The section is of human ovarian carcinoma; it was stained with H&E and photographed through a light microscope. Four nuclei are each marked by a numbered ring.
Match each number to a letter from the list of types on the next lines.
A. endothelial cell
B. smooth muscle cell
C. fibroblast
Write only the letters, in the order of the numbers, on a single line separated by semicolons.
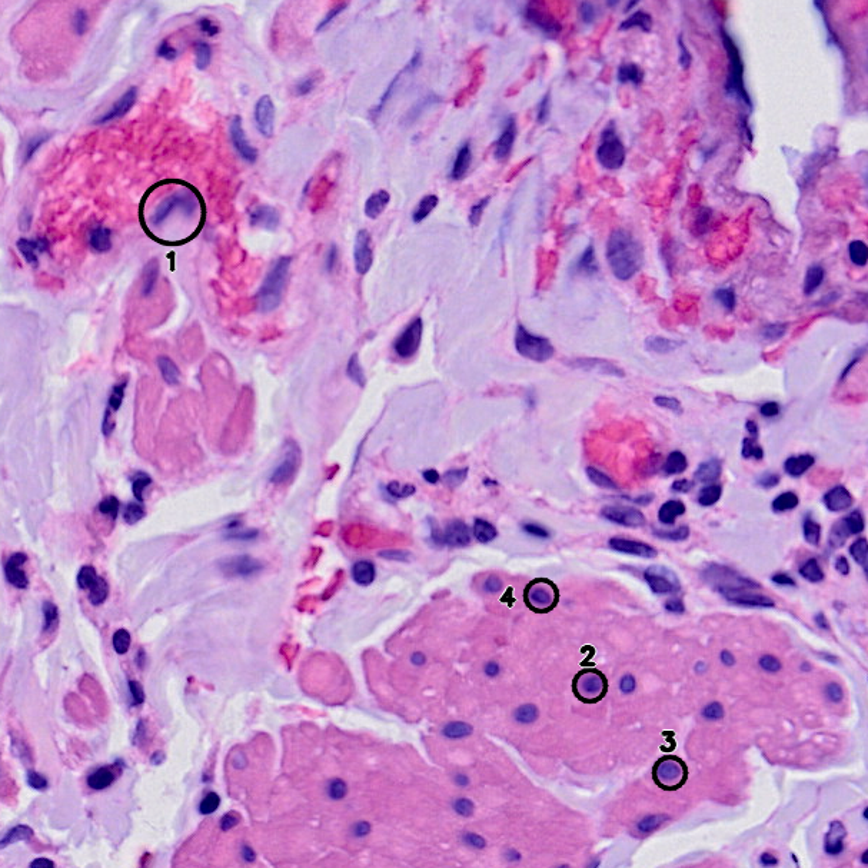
A; B; B; B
